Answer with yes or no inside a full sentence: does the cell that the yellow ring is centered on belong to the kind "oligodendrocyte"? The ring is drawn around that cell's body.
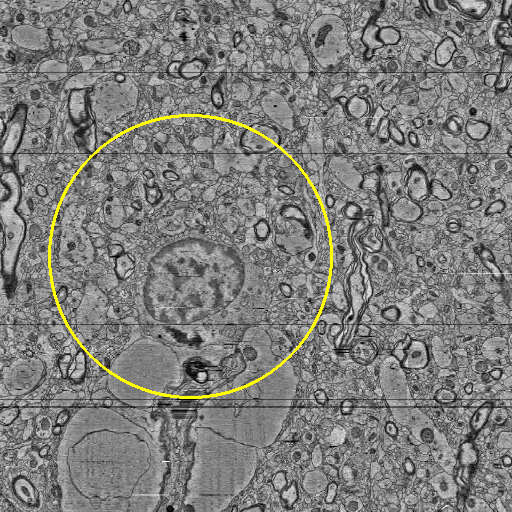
Yes, that kind describes the cell the yellow ring is centered on in the picture.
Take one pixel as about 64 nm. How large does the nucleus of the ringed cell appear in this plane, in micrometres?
The nucleus measures about 7 by 5 micrometres in this plane.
